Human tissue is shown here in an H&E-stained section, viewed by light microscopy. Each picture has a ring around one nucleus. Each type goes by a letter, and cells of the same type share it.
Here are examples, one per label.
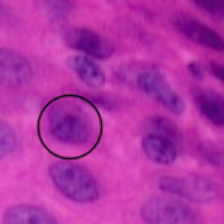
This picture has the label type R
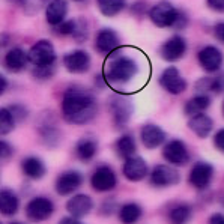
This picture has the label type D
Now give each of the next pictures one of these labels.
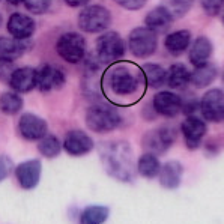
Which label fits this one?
type D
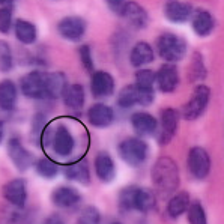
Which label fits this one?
type D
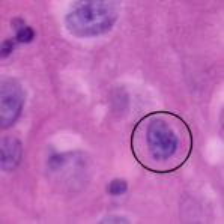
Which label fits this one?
type R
